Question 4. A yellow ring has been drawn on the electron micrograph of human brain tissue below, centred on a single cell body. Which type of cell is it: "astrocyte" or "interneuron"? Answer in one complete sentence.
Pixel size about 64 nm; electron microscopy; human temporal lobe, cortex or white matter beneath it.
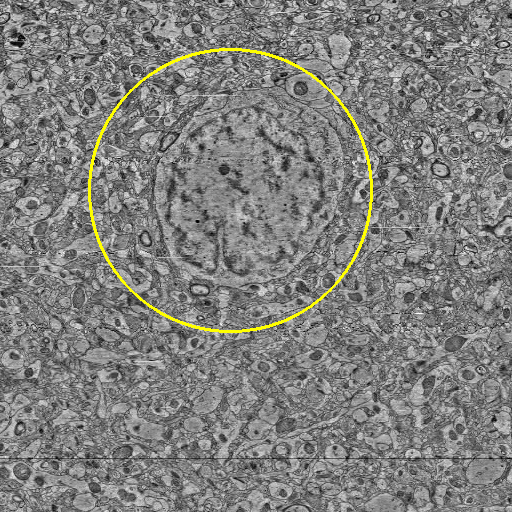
This cell body belongs to an interneuron.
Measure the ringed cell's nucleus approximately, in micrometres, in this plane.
Roughly 11 by 10 micrometres is the size of the nucleus in this plane.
